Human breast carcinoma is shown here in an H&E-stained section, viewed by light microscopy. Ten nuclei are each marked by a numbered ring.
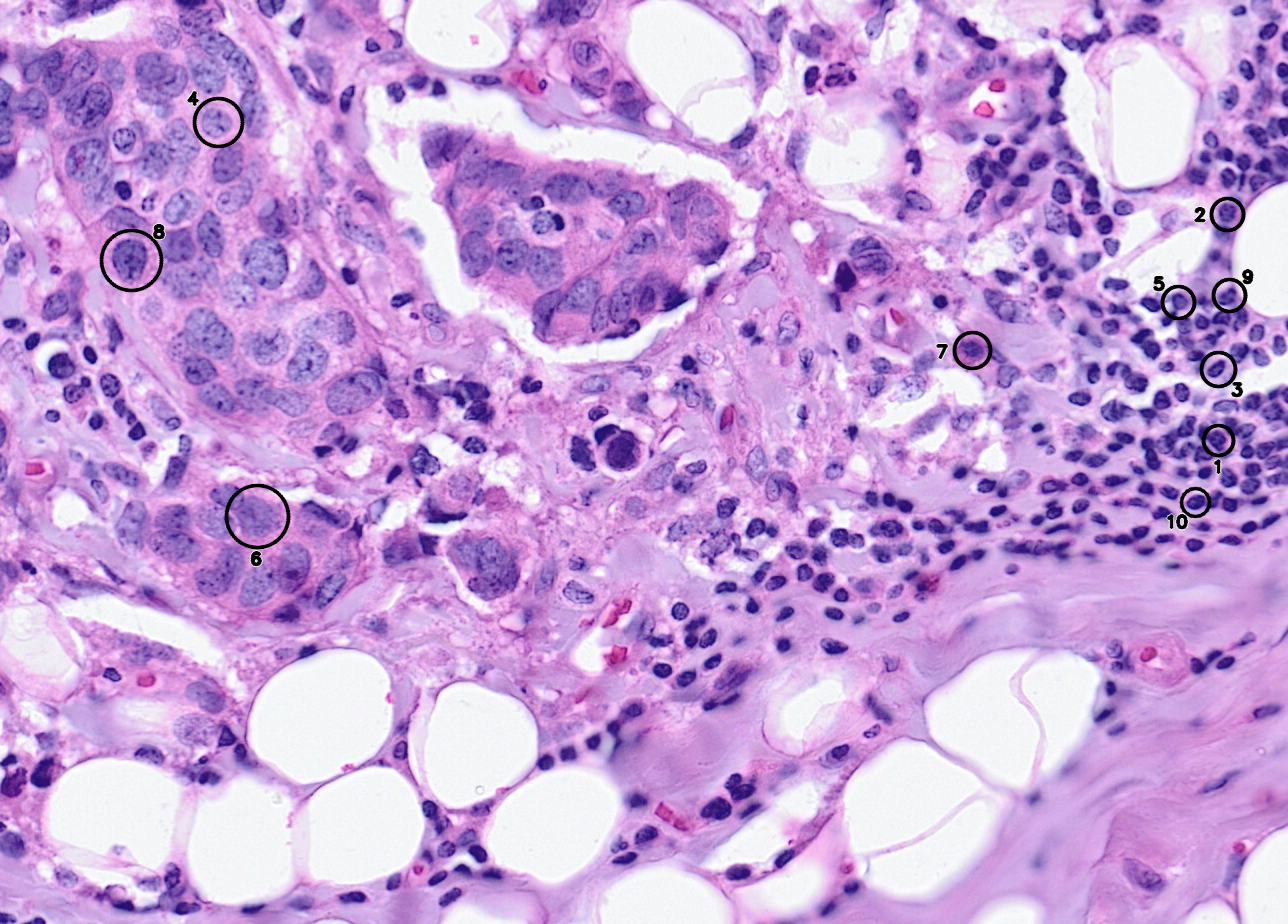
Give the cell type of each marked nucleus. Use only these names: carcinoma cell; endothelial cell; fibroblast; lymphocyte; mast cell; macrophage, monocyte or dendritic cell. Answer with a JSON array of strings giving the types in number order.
["lymphocyte", "lymphocyte", "lymphocyte", "carcinoma cell", "lymphocyte", "carcinoma cell", "mast cell", "carcinoma cell", "lymphocyte", "lymphocyte"]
